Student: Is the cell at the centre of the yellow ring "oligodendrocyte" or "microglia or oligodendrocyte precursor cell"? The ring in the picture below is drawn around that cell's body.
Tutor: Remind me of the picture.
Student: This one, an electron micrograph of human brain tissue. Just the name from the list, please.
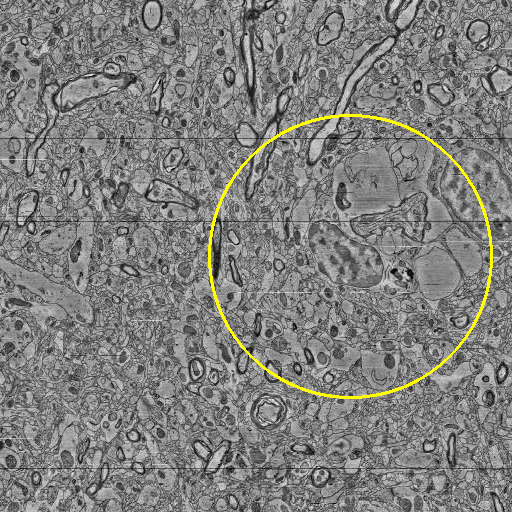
microglia or oligodendrocyte precursor cell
